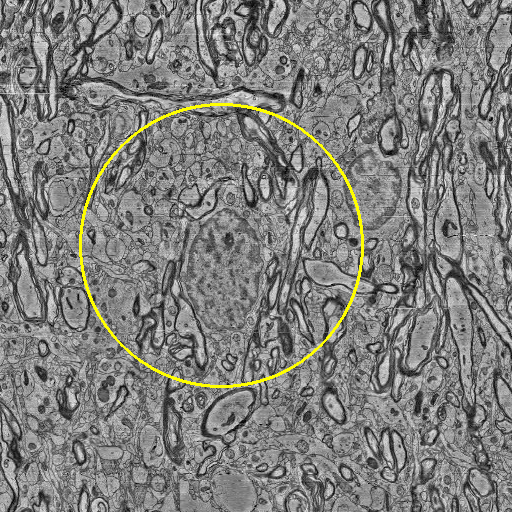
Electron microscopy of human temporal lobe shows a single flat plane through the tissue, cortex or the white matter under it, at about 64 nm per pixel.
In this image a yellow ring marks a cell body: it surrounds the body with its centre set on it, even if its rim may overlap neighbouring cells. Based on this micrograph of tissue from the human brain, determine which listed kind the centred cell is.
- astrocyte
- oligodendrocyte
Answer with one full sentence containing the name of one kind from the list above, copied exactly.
It is an oligodendrocyte whose body the yellow ring encloses at its centre.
